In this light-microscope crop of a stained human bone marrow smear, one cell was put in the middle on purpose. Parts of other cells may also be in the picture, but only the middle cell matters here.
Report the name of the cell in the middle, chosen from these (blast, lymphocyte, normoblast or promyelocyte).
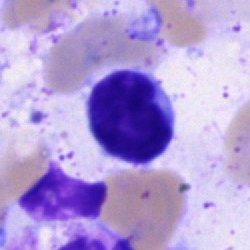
lymphocyte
